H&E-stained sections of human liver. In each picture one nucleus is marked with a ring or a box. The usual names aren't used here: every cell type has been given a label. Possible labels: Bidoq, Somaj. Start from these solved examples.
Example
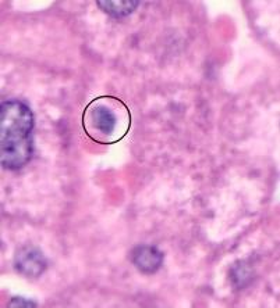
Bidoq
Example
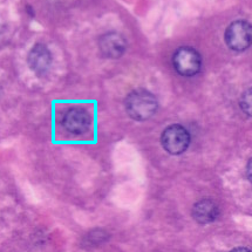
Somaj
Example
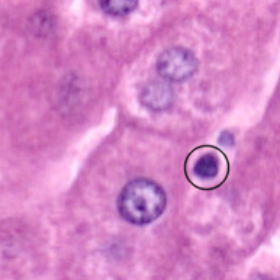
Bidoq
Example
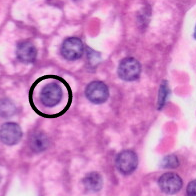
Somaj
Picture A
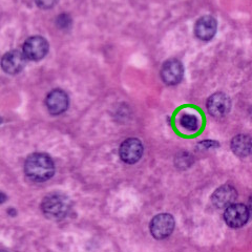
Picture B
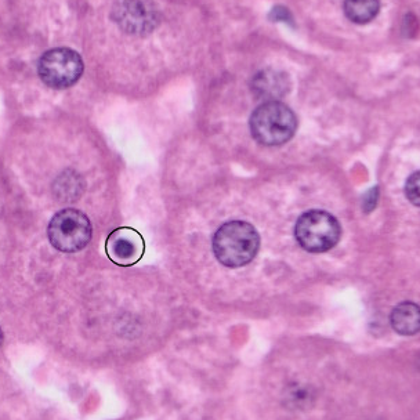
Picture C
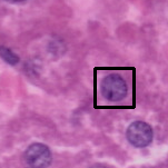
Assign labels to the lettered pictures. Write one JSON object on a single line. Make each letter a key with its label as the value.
{"A": "Bidoq", "B": "Bidoq", "C": "Somaj"}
